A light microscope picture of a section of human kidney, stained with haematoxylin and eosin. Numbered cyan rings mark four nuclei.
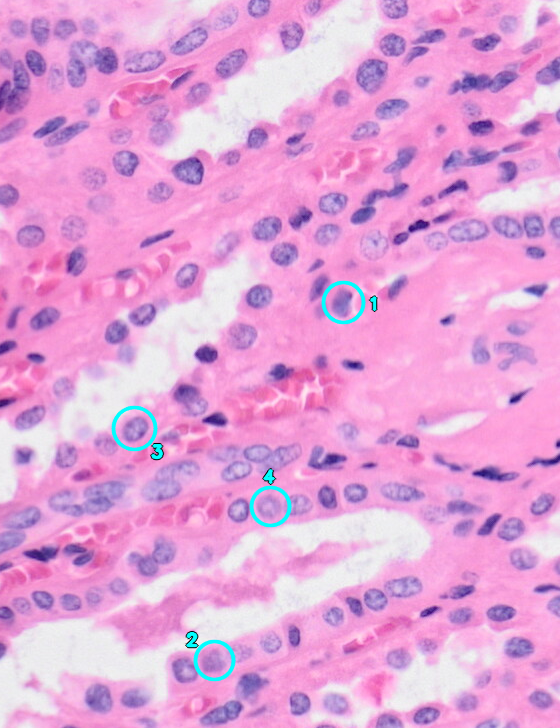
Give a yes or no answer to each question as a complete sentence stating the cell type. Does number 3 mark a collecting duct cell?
No, the cell at marker 3 is not a collecting duct cell; it is a loop of Henle or distal tubule cell.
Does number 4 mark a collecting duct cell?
Yes, as for number 4, the cell is a collecting duct cell.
